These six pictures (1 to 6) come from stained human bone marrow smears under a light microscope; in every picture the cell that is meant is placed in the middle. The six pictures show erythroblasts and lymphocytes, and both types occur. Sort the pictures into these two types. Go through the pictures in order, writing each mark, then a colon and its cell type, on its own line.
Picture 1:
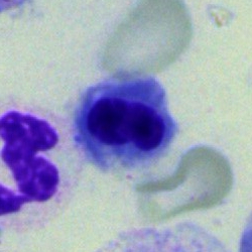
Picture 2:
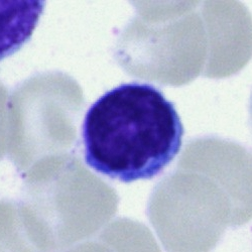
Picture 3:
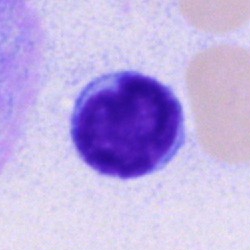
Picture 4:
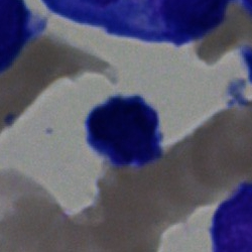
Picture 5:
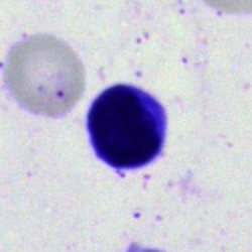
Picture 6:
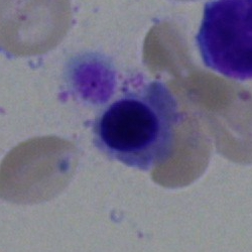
1: erythroblast
2: lymphocyte
3: lymphocyte
4: lymphocyte
5: lymphocyte
6: erythroblast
